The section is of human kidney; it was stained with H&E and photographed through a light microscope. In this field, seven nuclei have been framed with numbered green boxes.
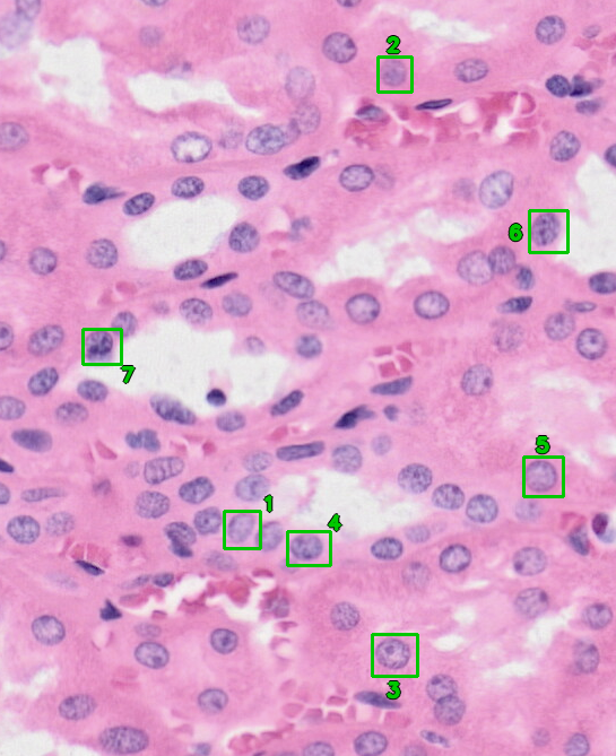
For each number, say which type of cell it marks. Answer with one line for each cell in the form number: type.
1: collecting duct cell
2: proximal tubule cell
3: proximal tubule cell
4: collecting duct cell
5: proximal tubule cell
6: loop of Henle or distal tubule cell
7: loop of Henle or distal tubule cell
